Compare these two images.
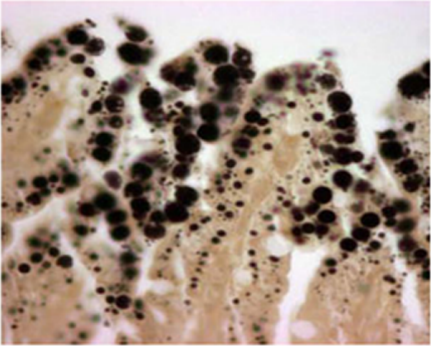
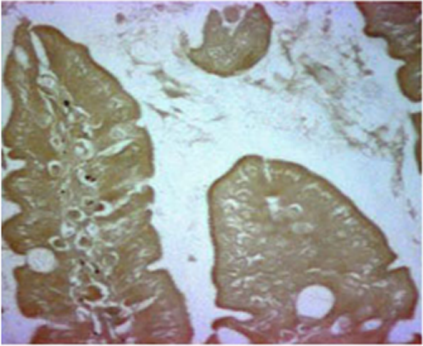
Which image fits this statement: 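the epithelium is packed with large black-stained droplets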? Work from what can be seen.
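First image: many large round black bodies throughout the villus epithelium. Second image: the tissue is uniformly brown with almost no black droplets.
Hence: the first image.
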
